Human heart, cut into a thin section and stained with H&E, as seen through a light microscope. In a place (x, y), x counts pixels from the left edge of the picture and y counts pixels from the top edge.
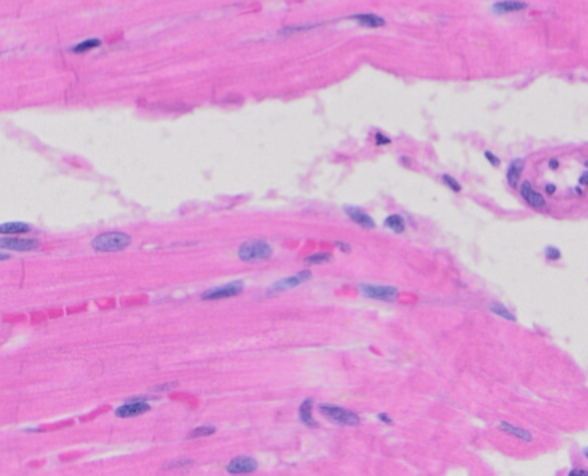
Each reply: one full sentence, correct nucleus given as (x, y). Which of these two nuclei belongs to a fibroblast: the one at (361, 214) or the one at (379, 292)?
Of the two options, the nucleus at (361, 214) is the one that belongs to a fibroblast.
